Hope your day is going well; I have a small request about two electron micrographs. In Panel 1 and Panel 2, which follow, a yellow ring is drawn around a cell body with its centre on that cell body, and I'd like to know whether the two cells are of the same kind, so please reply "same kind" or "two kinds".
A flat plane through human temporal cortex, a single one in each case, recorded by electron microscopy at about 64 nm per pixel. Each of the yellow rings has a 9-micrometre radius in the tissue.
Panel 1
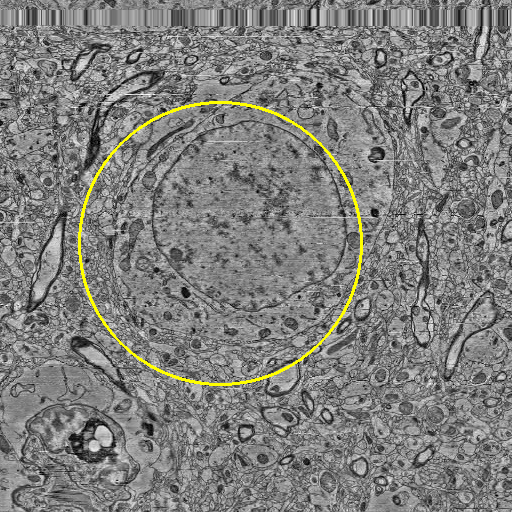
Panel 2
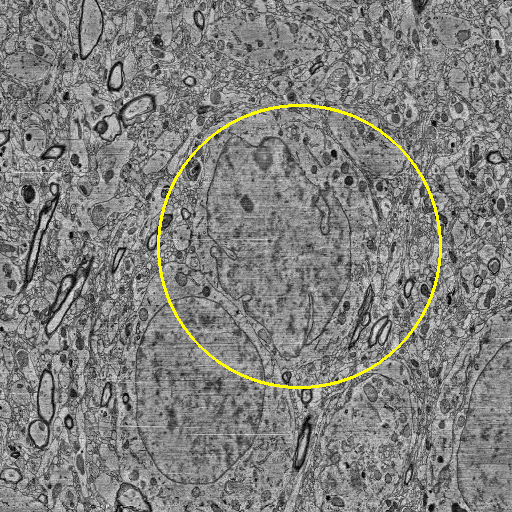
two kinds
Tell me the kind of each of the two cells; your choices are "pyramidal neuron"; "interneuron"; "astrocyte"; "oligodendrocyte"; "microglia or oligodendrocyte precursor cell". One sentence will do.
The ringed cell is a pyramidal neuron in the first picture and an interneuron in the second picture.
